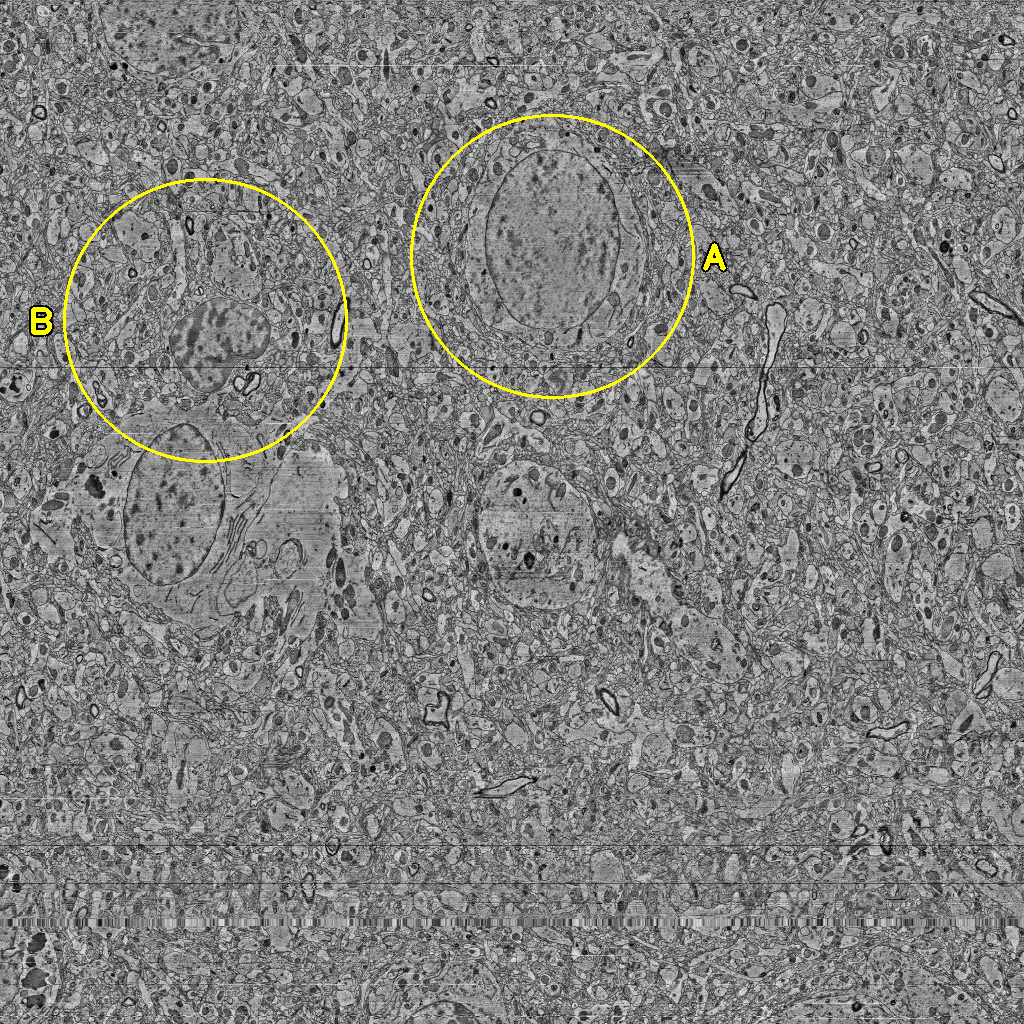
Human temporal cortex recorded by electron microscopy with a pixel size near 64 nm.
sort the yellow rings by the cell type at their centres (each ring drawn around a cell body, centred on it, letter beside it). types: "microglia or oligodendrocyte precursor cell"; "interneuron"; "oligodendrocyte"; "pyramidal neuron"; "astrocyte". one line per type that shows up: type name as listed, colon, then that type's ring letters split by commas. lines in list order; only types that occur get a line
microglia or oligodendrocyte precursor cell: B
pyramidal neuron: A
